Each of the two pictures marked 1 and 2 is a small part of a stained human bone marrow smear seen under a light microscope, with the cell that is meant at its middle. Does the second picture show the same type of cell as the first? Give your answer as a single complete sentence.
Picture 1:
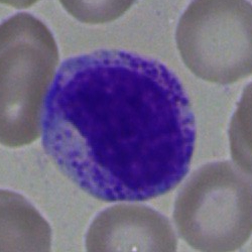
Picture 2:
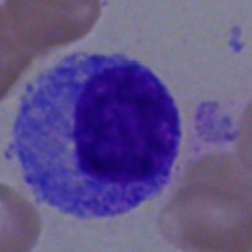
Yes, both are myelocytes.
